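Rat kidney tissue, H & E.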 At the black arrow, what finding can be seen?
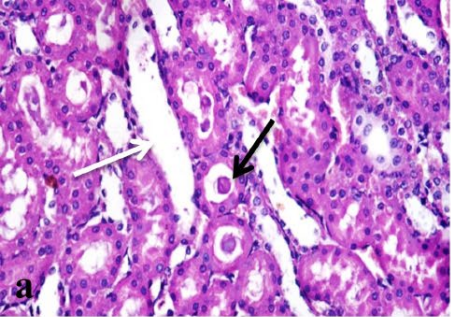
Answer: Renal tubular casts.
